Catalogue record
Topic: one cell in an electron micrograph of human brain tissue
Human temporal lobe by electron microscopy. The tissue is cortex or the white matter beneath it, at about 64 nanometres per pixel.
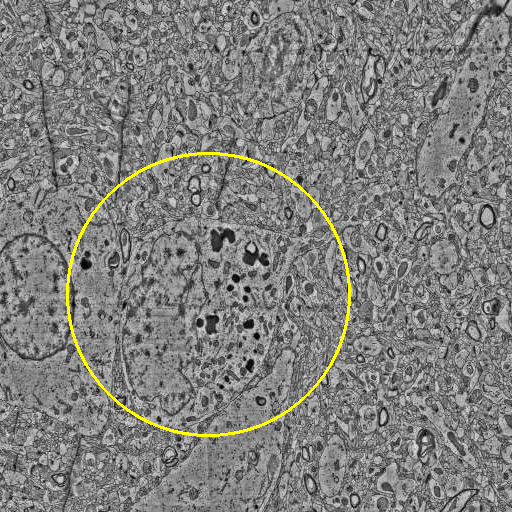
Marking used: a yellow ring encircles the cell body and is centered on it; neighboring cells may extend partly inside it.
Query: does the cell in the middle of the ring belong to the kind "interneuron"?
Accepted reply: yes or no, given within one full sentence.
Yes, the cell centered in the ring in the picture is of that kind.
